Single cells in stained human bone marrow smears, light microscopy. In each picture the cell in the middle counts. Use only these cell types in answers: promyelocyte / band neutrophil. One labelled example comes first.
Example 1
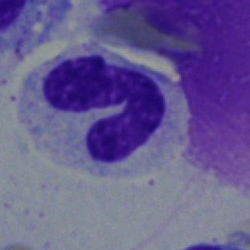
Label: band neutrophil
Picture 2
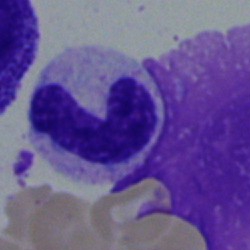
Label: band neutrophil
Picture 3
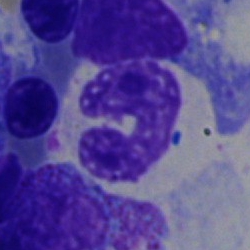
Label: band neutrophil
